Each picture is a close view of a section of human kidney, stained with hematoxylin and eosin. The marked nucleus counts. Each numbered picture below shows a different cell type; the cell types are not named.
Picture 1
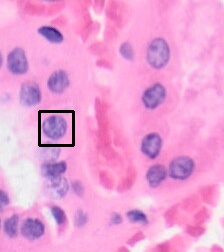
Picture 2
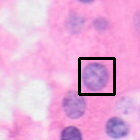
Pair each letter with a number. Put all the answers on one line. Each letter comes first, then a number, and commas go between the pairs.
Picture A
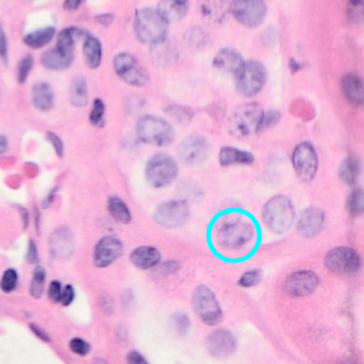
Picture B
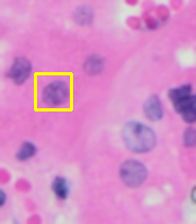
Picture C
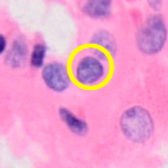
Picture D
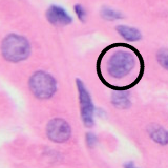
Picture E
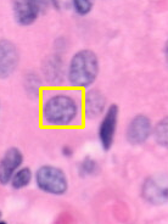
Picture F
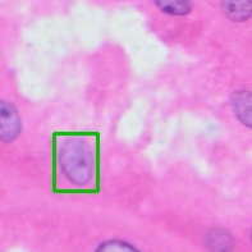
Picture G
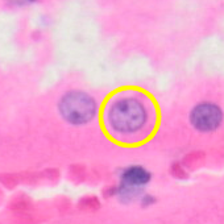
A 1, B 2, C 1, D 1, E 1, F 2, G 2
